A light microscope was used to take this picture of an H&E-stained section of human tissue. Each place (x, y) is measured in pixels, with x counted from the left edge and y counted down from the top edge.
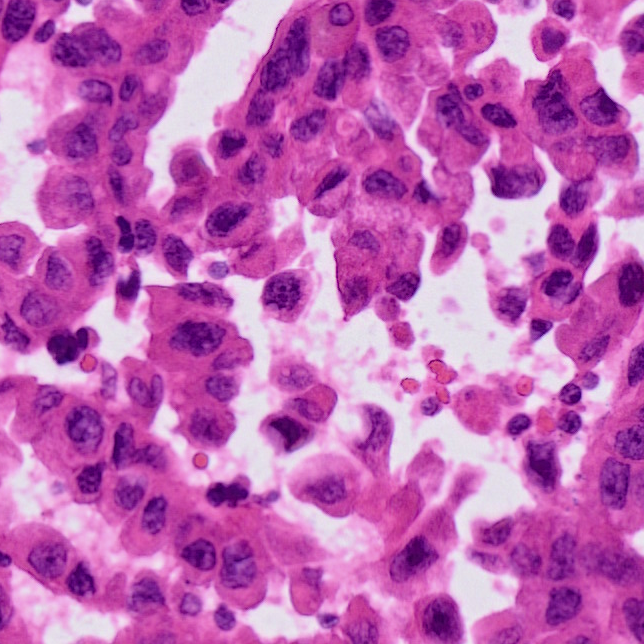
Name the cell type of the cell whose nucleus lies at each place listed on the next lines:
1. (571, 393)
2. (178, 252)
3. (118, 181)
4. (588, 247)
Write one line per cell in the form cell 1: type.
cell 1: lymphocyte
cell 2: carcinoma cell
cell 3: carcinoma cell
cell 4: carcinoma cell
